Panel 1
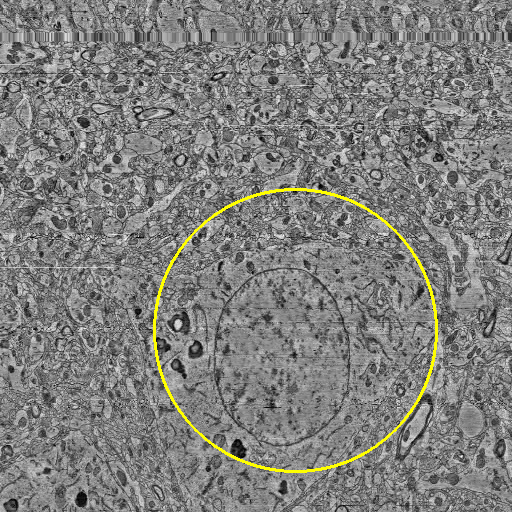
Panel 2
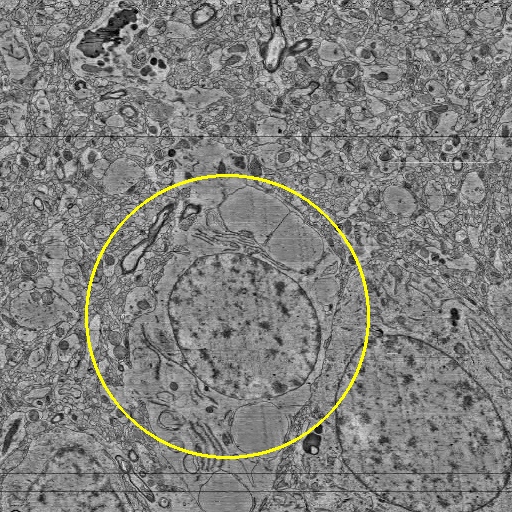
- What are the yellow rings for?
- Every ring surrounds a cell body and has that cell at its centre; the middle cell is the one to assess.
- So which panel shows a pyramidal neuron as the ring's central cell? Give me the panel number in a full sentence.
The panel whose ring is centred on the cell in question is panel 1.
